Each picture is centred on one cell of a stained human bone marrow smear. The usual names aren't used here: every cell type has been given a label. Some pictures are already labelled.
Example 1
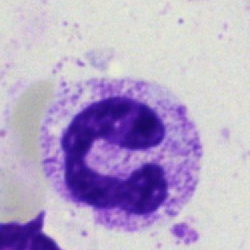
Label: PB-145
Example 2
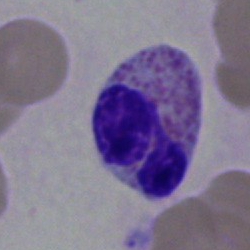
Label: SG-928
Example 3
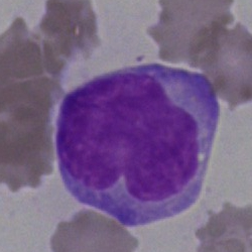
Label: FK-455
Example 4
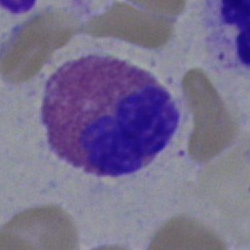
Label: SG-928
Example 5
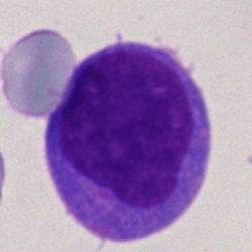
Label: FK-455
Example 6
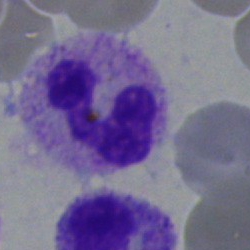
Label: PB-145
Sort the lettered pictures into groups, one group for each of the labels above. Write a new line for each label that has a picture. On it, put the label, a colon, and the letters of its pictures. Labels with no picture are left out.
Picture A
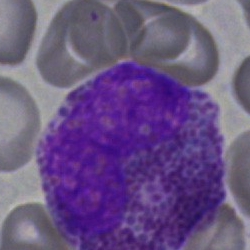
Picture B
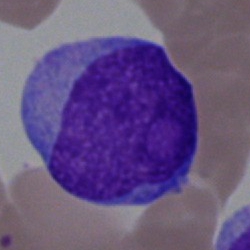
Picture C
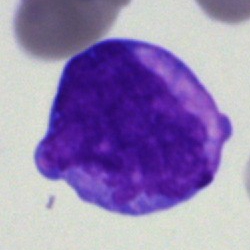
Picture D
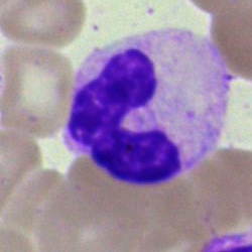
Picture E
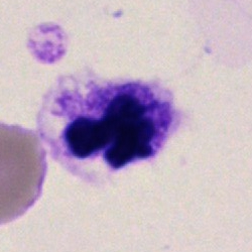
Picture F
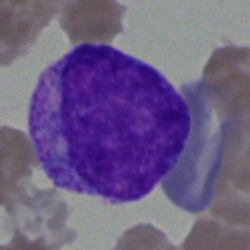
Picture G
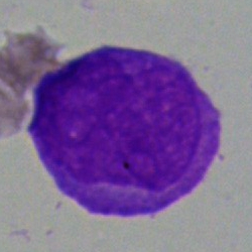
PB-145: D, E
SG-928: A
FK-455: B, C, F, G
